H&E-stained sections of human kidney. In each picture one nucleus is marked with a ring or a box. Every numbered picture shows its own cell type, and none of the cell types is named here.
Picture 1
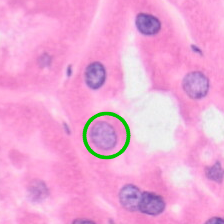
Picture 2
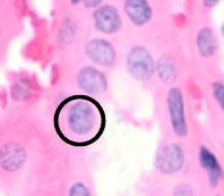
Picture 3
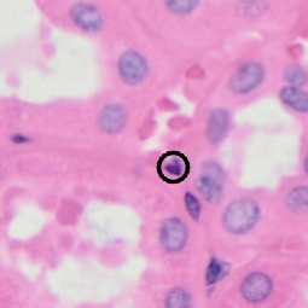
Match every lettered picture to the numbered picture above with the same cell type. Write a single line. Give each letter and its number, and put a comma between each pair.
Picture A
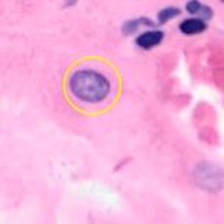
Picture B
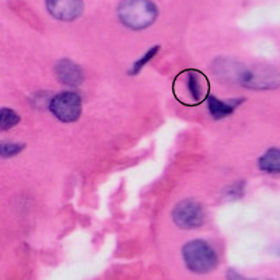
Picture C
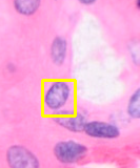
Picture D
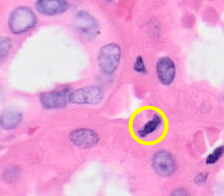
A 1, B 3, C 2, D 3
